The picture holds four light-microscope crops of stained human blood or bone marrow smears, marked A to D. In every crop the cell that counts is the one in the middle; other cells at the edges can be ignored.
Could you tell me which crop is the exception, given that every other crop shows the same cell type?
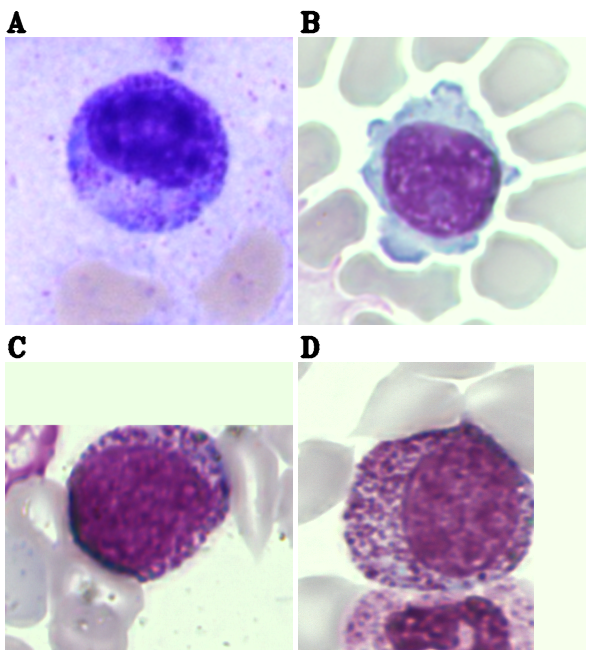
B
